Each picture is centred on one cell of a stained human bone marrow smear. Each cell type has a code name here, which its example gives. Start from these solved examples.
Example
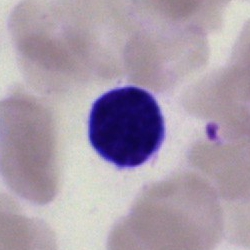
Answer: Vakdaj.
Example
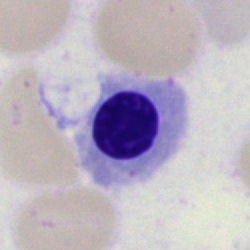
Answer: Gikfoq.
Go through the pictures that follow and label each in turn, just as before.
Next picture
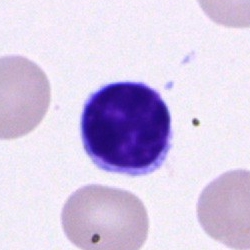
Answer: Vakdaj.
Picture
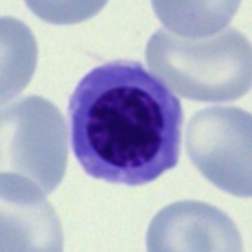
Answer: Gikfoq.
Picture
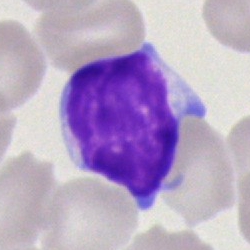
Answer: Vakdaj.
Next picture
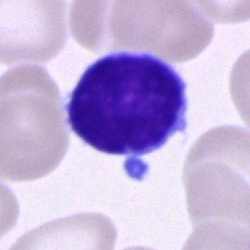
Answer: Vakdaj.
